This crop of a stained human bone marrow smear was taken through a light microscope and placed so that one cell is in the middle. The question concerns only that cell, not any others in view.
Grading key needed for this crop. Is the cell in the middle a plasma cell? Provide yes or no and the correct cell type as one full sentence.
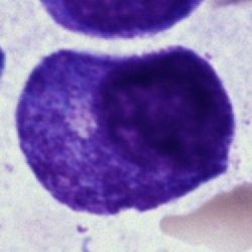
No, the cell positioned in the middle is a promyelocyte, not a plasma cell.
